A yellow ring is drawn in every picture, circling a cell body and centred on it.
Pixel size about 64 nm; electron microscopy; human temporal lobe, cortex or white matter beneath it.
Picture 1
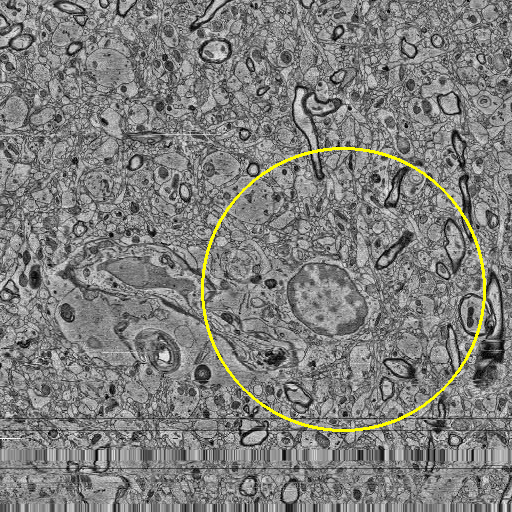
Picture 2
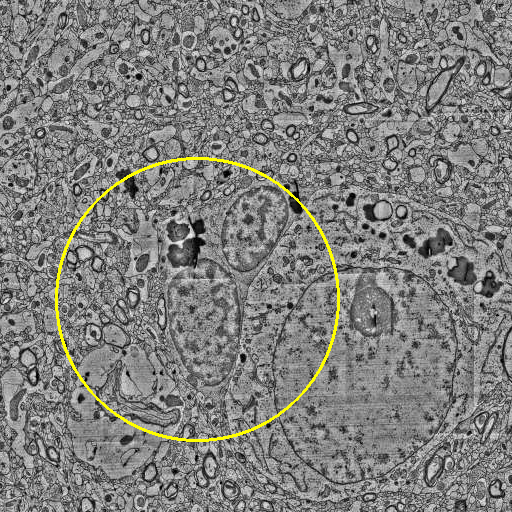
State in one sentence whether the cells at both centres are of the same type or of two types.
The cells at the two ring centres, one per picture, are of two types.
